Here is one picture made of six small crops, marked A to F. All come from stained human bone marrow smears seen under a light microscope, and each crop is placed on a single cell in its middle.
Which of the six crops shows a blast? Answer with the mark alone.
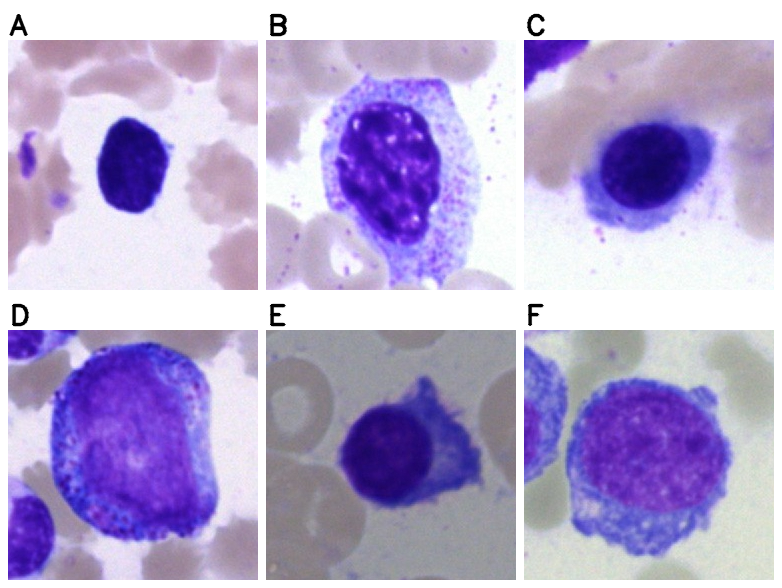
F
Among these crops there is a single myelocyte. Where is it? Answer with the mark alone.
B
